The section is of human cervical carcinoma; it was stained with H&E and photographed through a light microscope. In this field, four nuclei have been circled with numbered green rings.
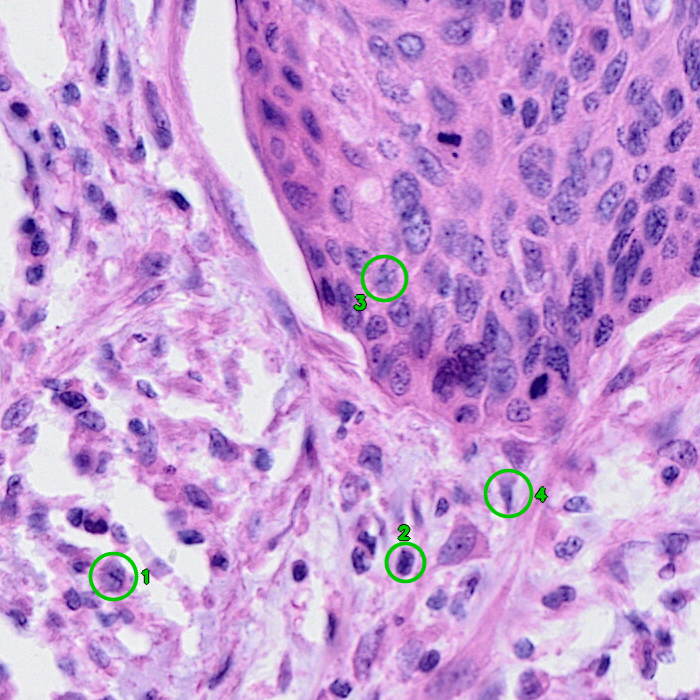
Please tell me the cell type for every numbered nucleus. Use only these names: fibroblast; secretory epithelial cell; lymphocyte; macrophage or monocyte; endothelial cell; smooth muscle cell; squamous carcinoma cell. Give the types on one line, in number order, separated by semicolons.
macrophage or monocyte; lymphocyte; squamous carcinoma cell; fibroblast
